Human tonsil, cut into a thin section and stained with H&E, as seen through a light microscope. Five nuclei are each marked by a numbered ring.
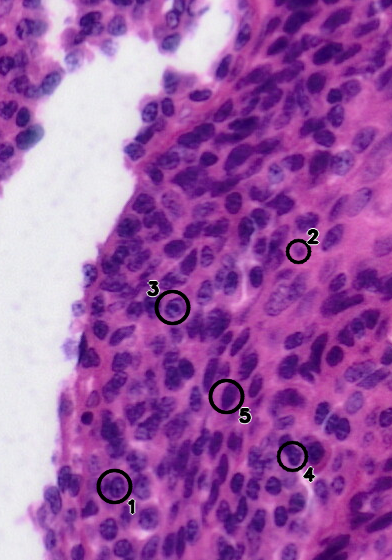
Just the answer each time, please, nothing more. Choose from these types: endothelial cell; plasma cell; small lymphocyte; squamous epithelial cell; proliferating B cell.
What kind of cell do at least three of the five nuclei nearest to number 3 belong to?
squamous epithelial cell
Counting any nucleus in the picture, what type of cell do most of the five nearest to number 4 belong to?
plasma cell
